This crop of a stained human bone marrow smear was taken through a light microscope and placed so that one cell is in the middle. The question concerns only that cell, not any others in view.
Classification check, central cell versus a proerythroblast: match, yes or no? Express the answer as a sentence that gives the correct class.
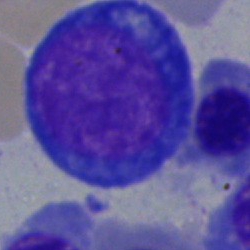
Yes, the centre of the crop holds a proerythroblast.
